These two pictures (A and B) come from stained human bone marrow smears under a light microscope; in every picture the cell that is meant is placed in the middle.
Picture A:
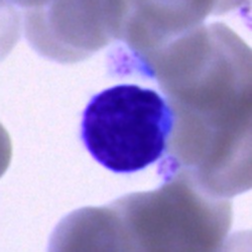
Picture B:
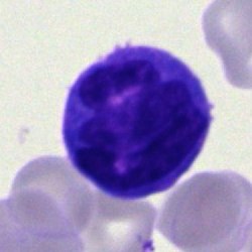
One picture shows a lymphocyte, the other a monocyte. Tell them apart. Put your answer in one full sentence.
In picture A the cell is a lymphocyte; in picture B, a monocyte.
